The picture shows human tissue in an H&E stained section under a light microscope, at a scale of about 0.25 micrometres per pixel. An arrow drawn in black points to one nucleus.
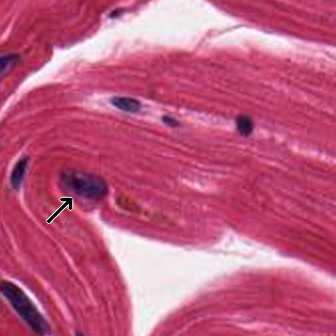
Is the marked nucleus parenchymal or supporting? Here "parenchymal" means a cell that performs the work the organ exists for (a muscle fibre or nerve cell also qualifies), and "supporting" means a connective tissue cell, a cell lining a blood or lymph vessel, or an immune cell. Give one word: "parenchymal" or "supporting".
parenchymal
